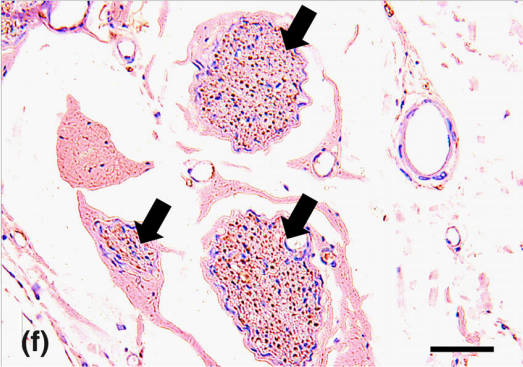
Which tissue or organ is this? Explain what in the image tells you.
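Rounded bundles of many small fibres are each wrapped by a thin sheath. Small vessels and loose connective tissue lie between the bundles. That points to this answer: nerve bundles.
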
